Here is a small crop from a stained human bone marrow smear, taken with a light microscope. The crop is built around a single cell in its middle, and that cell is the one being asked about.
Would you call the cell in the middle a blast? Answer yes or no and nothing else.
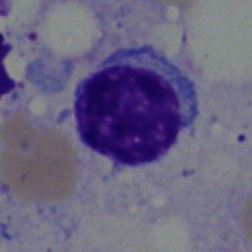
no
